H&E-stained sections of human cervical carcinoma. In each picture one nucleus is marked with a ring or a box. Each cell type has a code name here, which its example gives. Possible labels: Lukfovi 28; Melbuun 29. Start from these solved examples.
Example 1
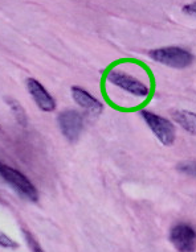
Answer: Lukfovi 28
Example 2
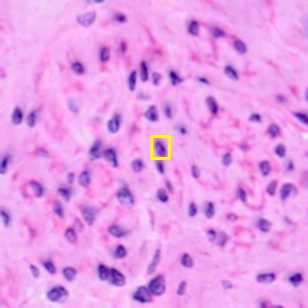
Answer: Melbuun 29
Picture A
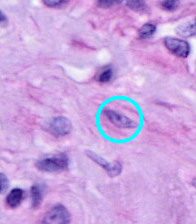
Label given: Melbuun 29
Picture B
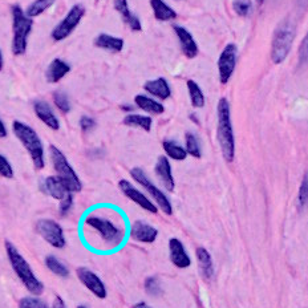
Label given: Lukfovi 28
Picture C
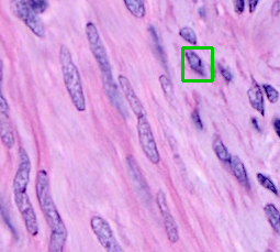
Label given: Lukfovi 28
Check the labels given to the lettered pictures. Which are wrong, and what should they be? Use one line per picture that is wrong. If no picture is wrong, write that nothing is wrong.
C: Melbuun 29, not Lukfovi 28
